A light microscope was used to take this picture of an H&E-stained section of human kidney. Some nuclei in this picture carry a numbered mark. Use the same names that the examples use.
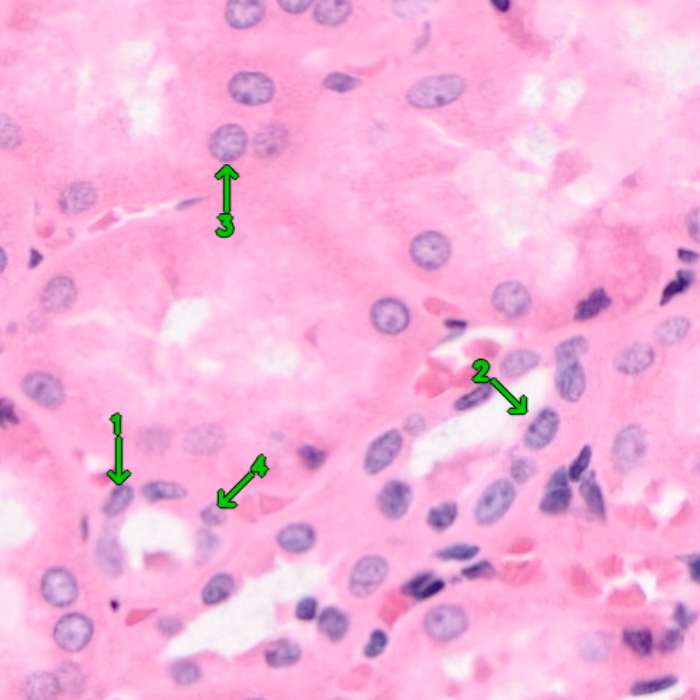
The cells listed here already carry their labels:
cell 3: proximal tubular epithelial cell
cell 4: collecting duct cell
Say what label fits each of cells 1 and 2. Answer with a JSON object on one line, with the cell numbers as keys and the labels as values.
{"1": "collecting duct cell", "2": "collecting duct cell"}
